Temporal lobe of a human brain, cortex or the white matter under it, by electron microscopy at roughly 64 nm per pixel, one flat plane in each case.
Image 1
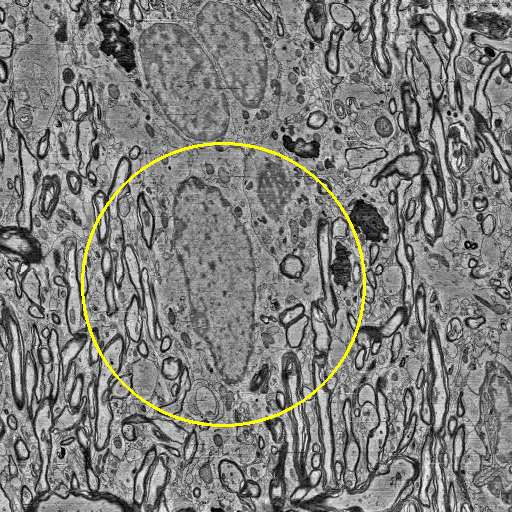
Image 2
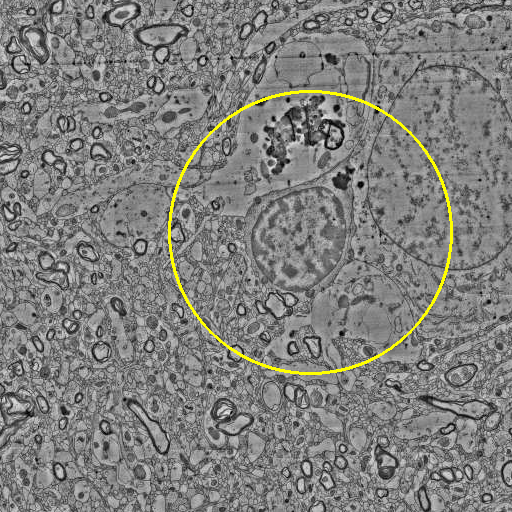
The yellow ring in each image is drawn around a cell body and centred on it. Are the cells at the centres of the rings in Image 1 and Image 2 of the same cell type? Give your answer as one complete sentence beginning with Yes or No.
No, the two cells are of two separate types.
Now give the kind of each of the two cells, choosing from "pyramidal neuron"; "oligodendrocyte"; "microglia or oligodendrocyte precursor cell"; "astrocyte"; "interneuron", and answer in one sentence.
The cell in the first picture is an astrocyte, and the cell in the second is an oligodendrocyte.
